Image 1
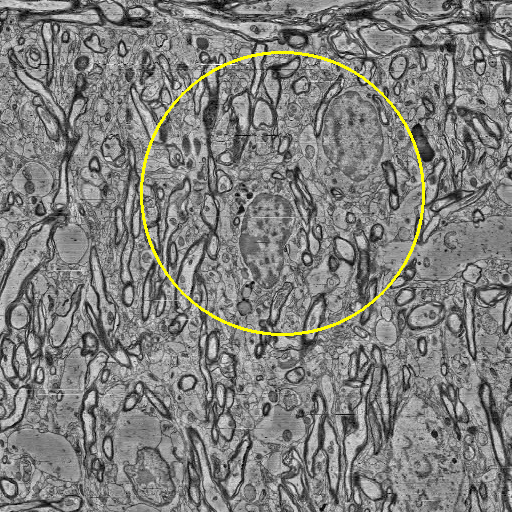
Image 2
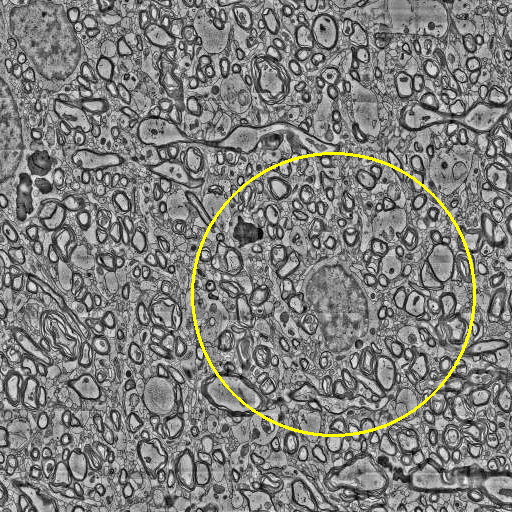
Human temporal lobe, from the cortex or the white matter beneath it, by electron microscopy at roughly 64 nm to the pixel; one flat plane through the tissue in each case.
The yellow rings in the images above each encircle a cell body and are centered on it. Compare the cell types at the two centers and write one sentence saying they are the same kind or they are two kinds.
Taken together, the two cells at the ring centers are two kinds.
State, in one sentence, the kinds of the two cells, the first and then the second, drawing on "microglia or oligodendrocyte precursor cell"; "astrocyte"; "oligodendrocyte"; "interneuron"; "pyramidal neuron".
The ring in the second picture is centred on an oligodendrocyte, the ring in the first on a microglial cell or oligodendrocyte precursor cell.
